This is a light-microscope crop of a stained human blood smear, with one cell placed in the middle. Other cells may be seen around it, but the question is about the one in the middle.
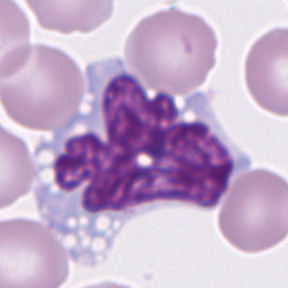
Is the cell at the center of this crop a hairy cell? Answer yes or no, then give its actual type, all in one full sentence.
No, the centre cell is not a hairy cell but a monocyte.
